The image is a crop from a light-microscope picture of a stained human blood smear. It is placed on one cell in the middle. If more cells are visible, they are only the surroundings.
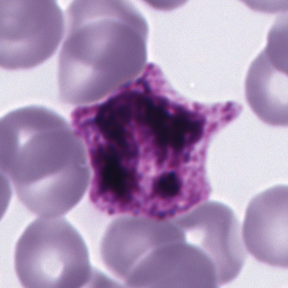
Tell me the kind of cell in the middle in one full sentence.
The central cell, amid any neighbouring cells, is a basophil.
